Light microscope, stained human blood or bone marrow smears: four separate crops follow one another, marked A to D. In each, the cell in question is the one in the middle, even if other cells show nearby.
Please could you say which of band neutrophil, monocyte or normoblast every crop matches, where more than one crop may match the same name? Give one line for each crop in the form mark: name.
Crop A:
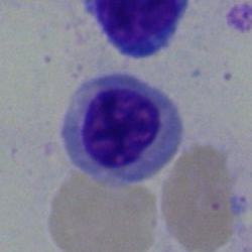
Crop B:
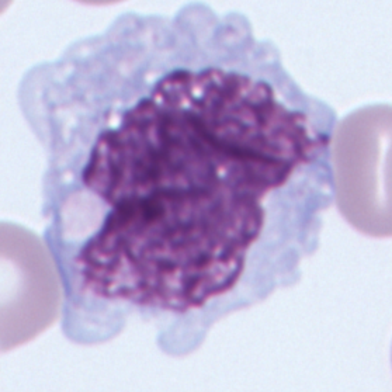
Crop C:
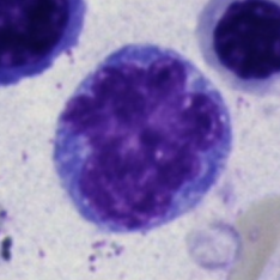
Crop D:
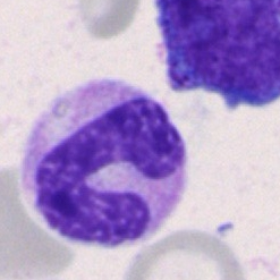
A: normoblast
B: monocyte
C: monocyte
D: band neutrophil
